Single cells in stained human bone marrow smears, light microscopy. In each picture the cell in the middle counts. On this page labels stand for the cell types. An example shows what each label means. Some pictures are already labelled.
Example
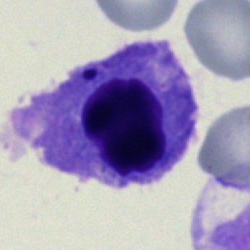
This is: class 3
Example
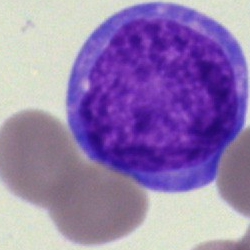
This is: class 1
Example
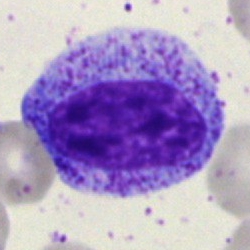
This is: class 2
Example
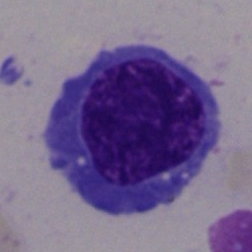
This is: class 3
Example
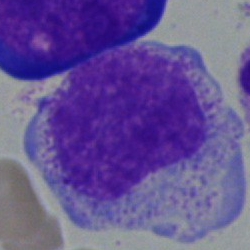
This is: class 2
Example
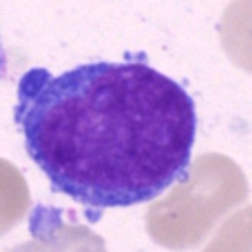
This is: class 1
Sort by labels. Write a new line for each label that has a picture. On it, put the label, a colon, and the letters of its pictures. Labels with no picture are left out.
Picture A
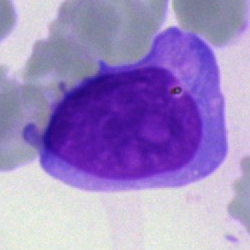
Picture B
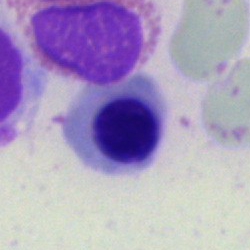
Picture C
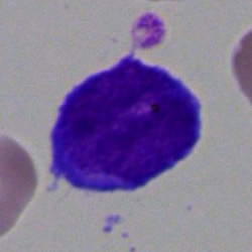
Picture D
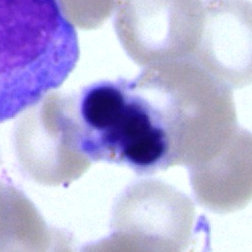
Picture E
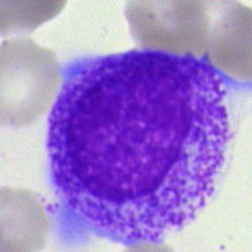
class 3: B, D
class 1: A, C
class 2: E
